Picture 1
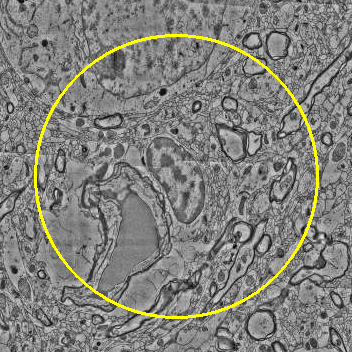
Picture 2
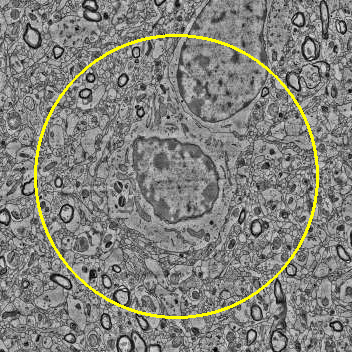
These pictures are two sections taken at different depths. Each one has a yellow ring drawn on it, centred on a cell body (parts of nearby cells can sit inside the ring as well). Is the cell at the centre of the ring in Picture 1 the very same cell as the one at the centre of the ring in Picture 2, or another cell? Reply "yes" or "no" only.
no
